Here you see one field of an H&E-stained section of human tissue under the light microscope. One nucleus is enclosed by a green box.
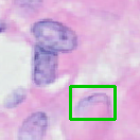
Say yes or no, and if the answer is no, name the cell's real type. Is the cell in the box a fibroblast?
Yes.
